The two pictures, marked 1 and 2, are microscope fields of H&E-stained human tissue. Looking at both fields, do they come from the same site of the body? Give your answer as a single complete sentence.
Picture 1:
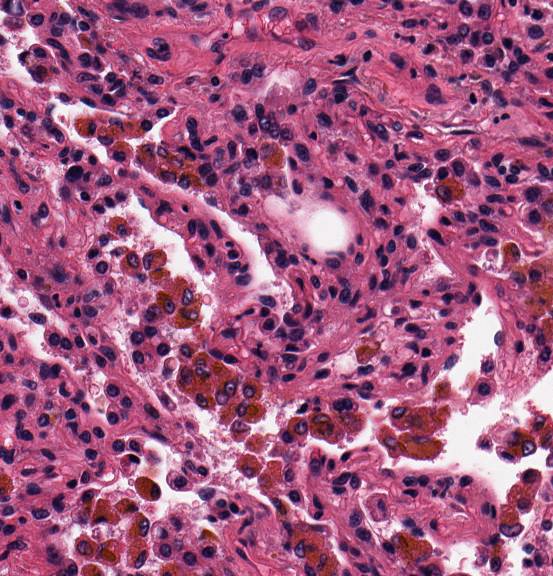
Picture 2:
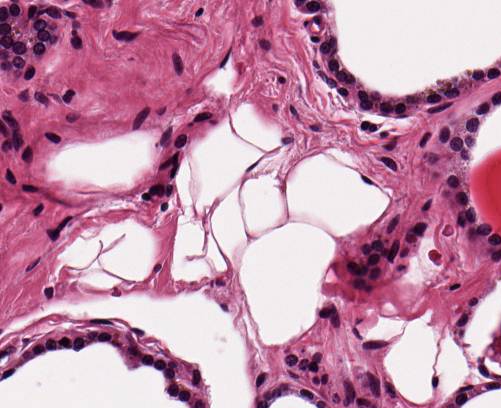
No, they differ: picture 1 comes from the lung, and picture 2 comes from the thyroid.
